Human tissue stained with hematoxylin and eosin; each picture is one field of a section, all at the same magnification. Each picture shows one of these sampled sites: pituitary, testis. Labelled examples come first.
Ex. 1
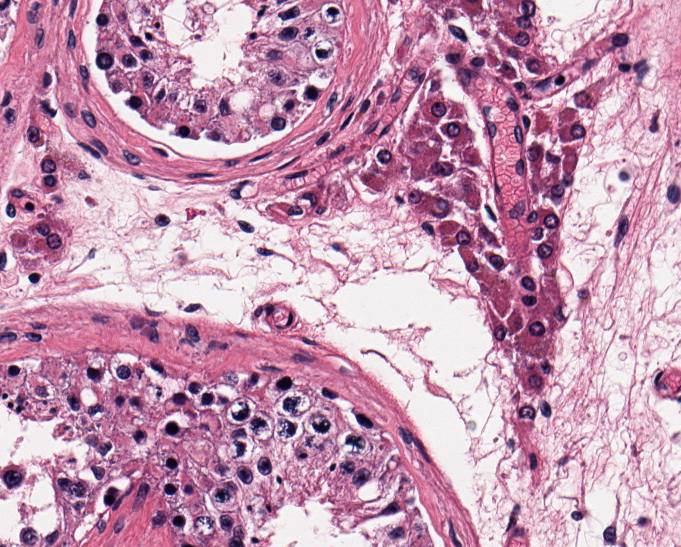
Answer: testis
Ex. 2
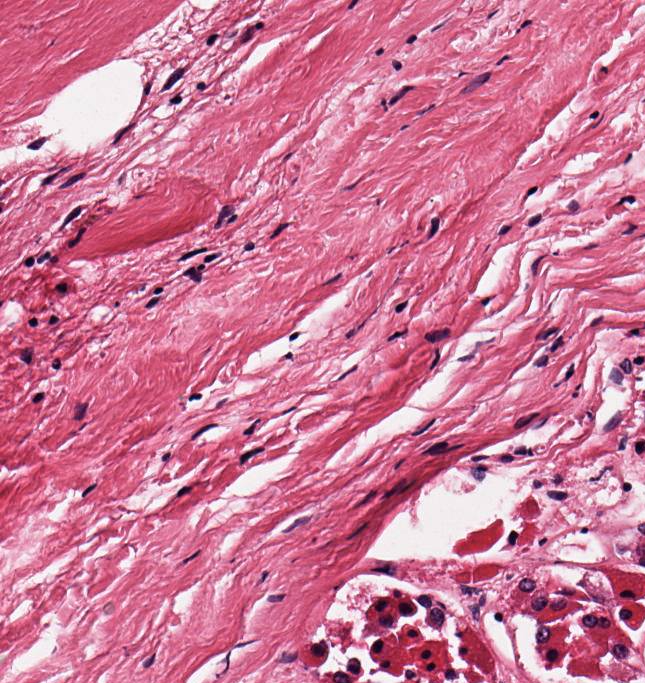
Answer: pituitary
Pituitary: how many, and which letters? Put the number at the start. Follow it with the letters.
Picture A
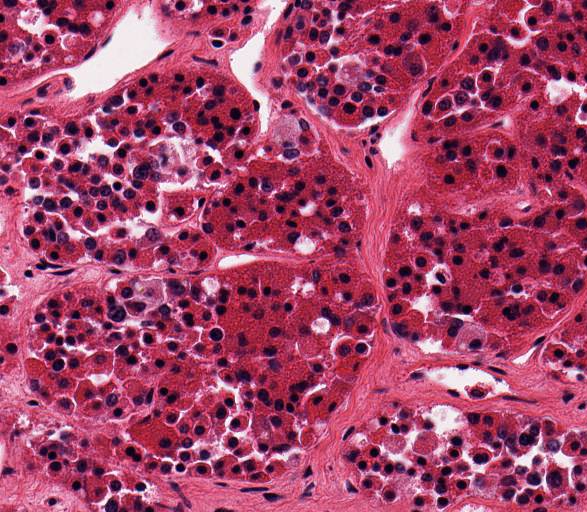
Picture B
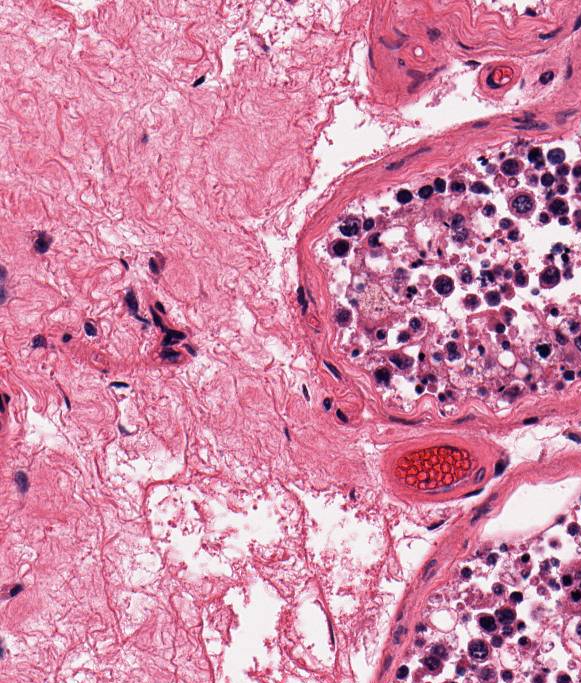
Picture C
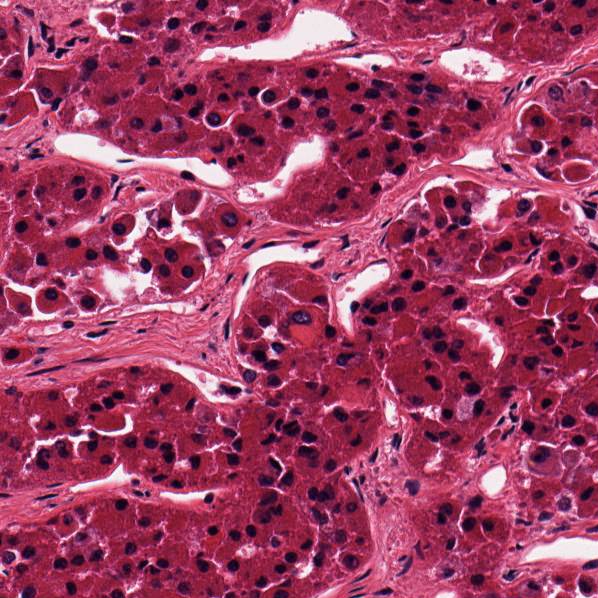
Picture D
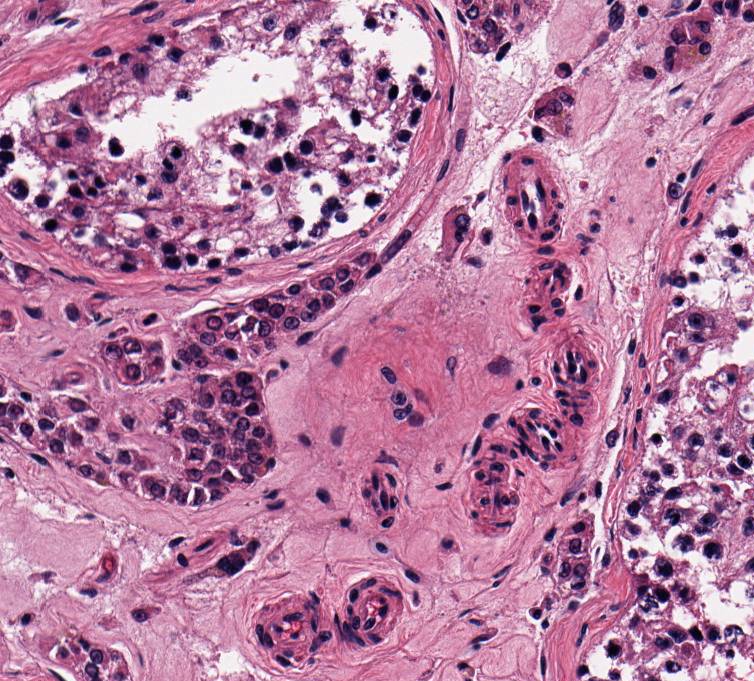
2, namely A, C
